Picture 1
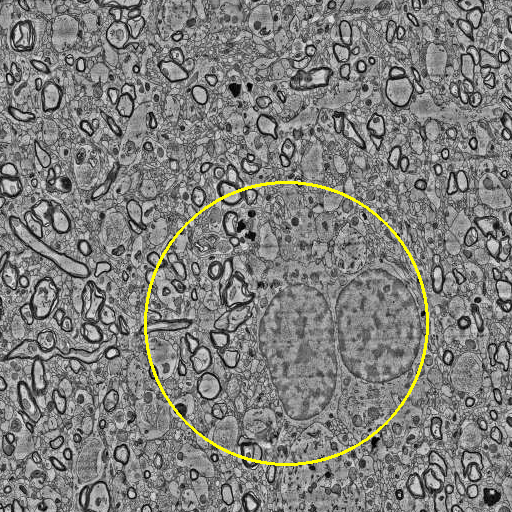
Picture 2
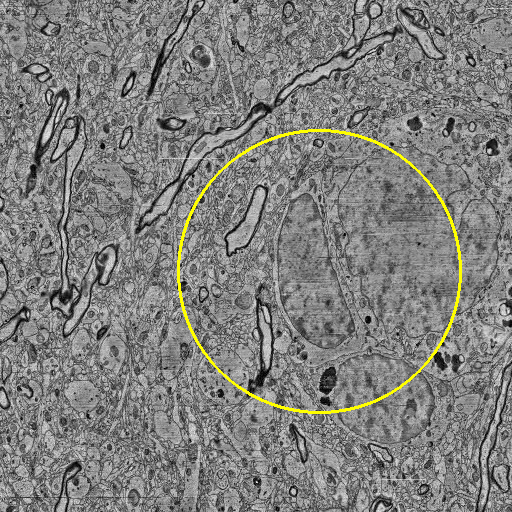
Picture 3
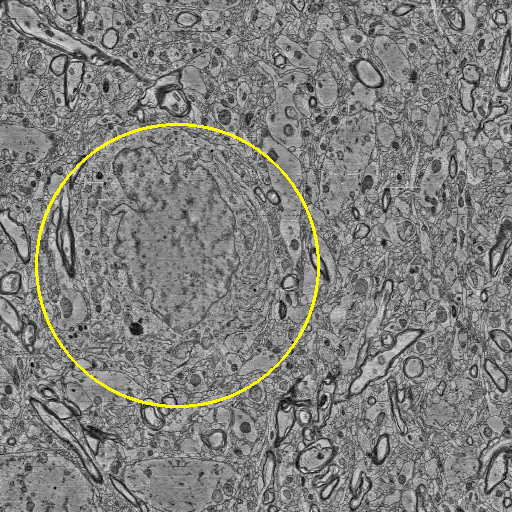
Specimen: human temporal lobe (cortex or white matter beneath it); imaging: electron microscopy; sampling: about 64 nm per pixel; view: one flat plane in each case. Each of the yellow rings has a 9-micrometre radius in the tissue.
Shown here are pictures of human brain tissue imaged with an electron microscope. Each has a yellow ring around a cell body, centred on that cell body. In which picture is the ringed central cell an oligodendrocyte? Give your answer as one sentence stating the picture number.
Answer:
My answer is picture 1, where the ringed cell at the centre is the one sought.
